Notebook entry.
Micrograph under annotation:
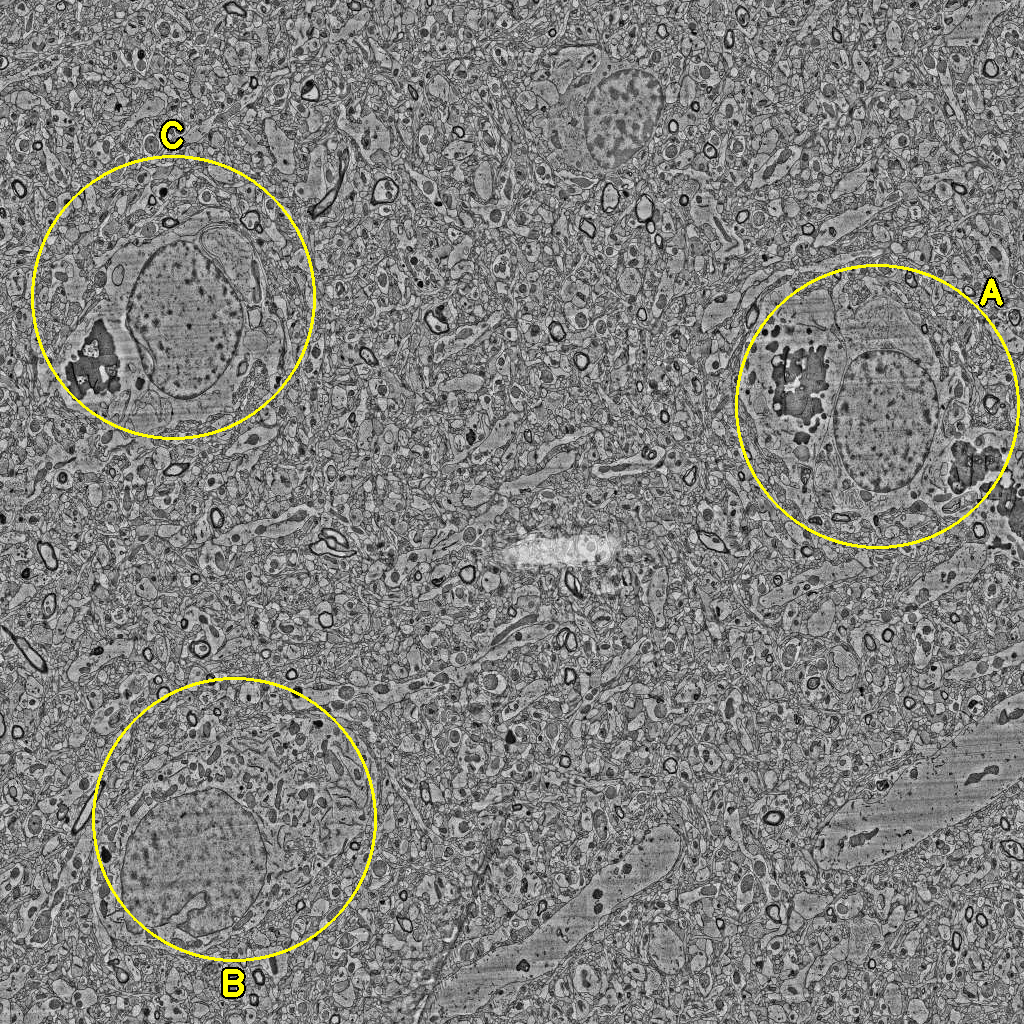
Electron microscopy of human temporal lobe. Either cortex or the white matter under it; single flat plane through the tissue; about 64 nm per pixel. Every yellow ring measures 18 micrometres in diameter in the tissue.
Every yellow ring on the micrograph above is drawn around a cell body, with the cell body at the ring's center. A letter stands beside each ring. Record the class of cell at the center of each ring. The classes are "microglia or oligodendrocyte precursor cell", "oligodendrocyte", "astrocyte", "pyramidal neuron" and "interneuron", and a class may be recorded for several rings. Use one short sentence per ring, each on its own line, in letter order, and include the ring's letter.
Ring A is centered on an astrocyte.
Ring B is centered on an interneuron.
Ring C is centered on an astrocyte.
